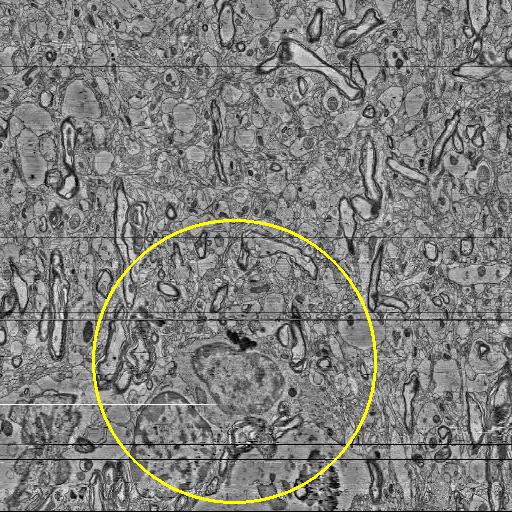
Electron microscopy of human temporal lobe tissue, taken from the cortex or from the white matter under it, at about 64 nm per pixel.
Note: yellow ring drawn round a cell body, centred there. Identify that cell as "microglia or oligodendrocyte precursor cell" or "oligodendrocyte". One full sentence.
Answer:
The cell in the middle of the ring is an oligodendrocyte.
